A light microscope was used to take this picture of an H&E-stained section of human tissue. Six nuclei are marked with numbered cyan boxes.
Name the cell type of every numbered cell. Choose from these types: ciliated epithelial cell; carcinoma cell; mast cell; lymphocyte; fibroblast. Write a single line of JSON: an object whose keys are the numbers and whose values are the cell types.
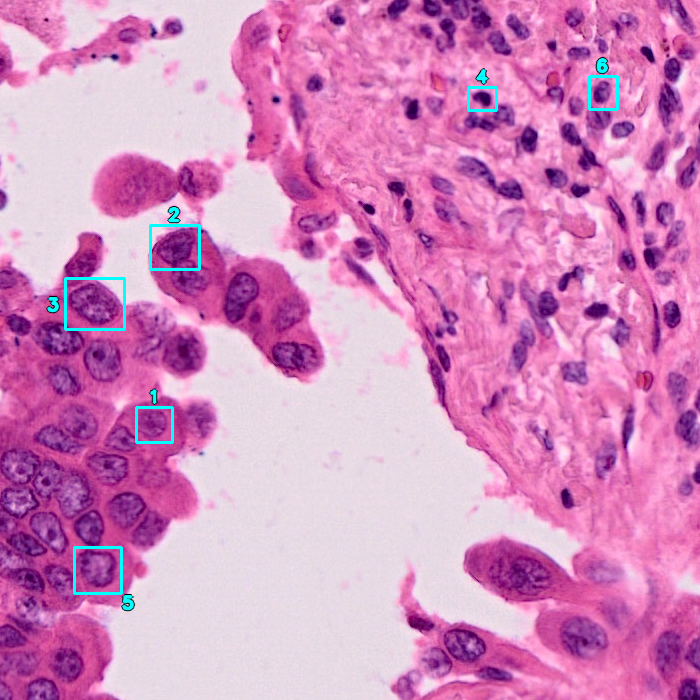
{"1": "carcinoma cell", "2": "carcinoma cell", "3": "carcinoma cell", "4": "lymphocyte", "5": "carcinoma cell", "6": "lymphocyte"}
